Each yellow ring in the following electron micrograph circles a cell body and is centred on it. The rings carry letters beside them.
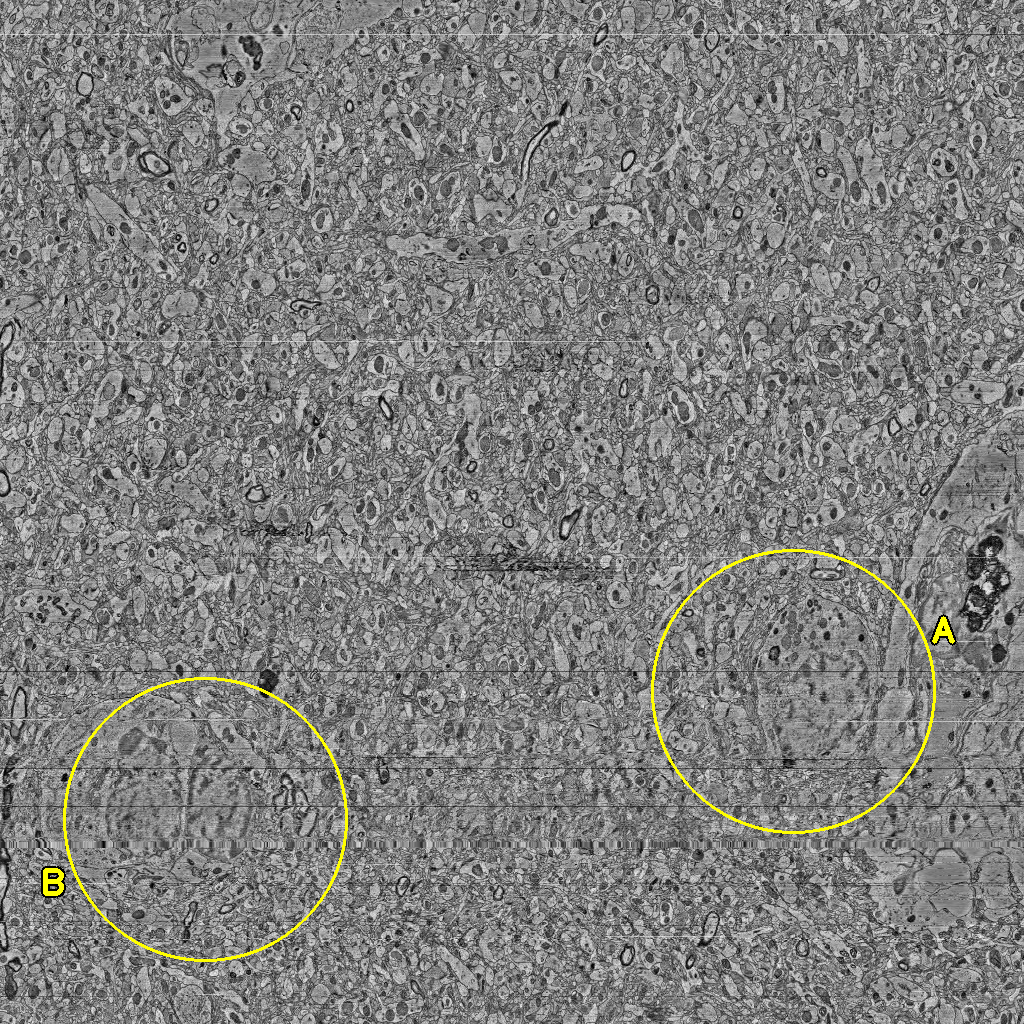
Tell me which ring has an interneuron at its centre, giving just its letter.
A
